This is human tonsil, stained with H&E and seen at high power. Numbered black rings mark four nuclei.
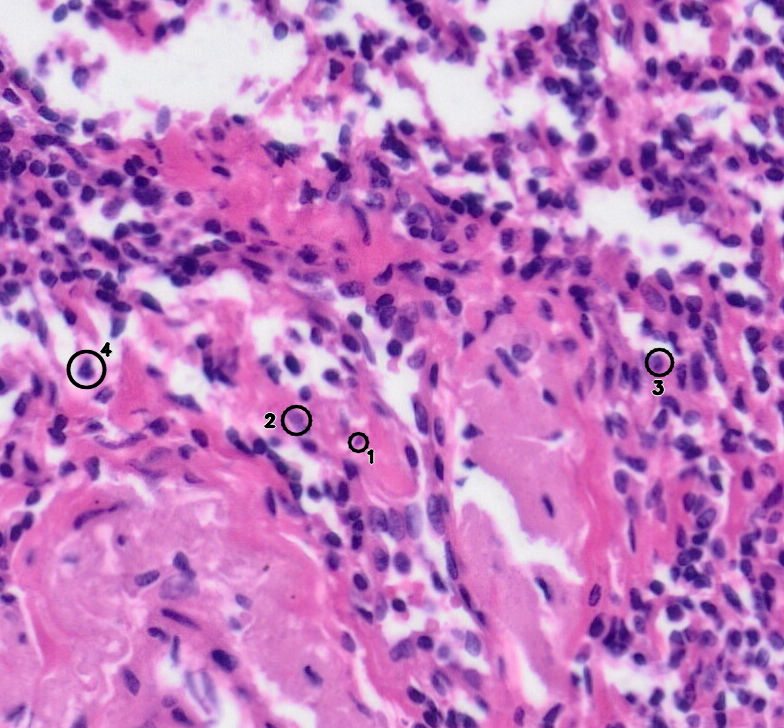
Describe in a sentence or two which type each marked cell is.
Cells 1, 2 and 3 are endothelial cells. Cell 4 is a mast cell.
